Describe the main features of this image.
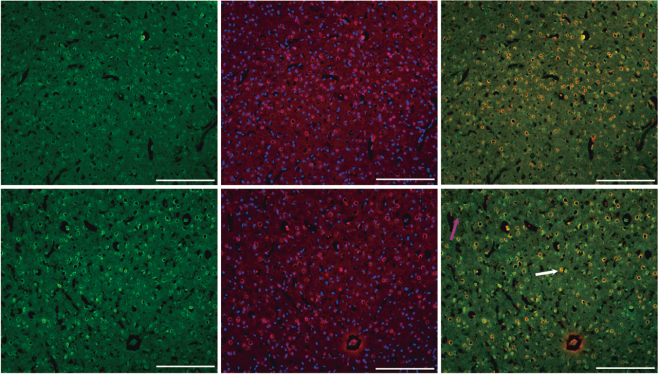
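Brain tissue seen at low magnification, with many small round cell bodies scattered evenly through the section. Green labelling outlines many somata, and in the merged images these somata appear yellow-orange where green and red overlap. Dark, unlabelled profiles of blood vessels cross the field.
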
